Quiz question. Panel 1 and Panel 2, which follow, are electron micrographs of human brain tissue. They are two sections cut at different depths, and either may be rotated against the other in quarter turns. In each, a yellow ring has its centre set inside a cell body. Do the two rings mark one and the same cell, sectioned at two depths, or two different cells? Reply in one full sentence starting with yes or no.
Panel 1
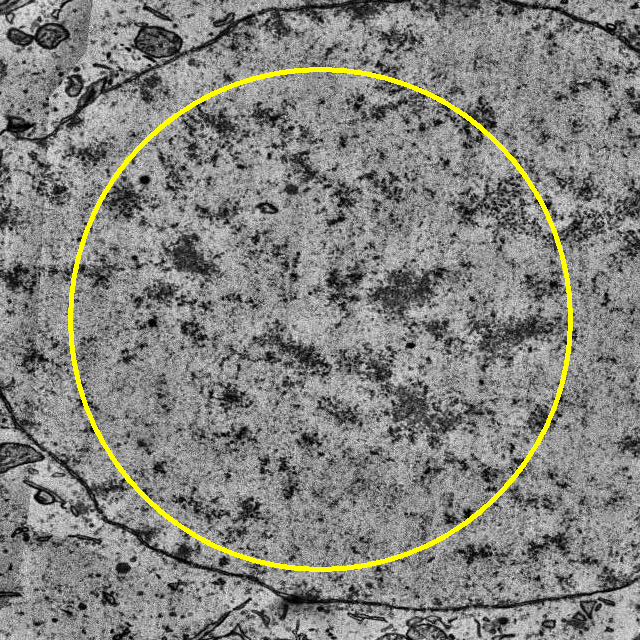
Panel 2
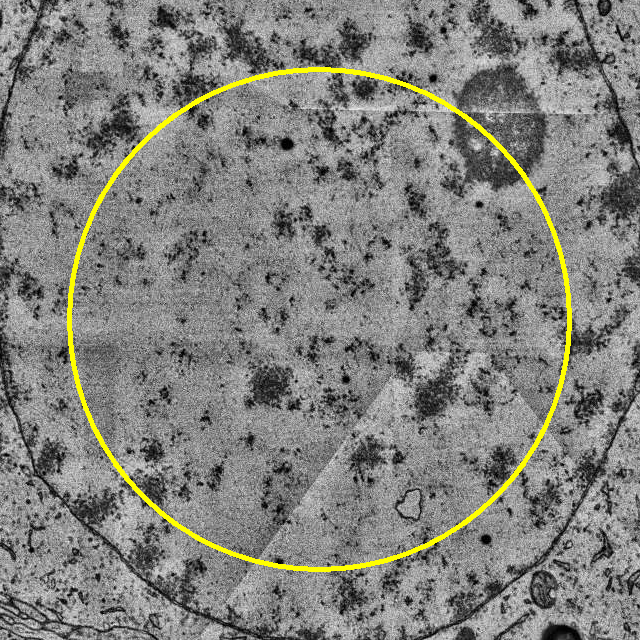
No, within the two rings lie two different cells.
